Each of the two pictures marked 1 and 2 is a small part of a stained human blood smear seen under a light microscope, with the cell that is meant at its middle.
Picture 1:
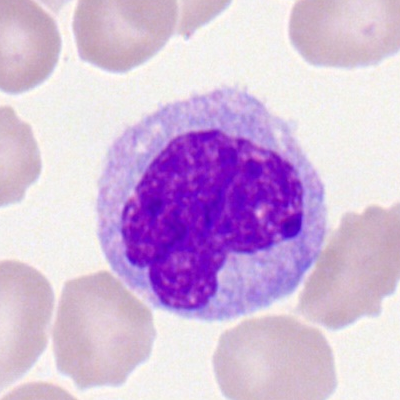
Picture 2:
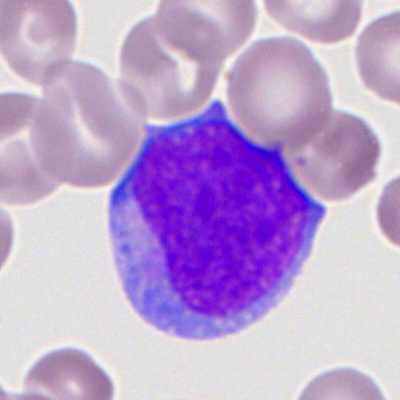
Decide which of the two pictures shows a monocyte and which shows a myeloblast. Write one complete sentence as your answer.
The cell in picture 1 is a monocyte, and the one in picture 2 is a myeloblast.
